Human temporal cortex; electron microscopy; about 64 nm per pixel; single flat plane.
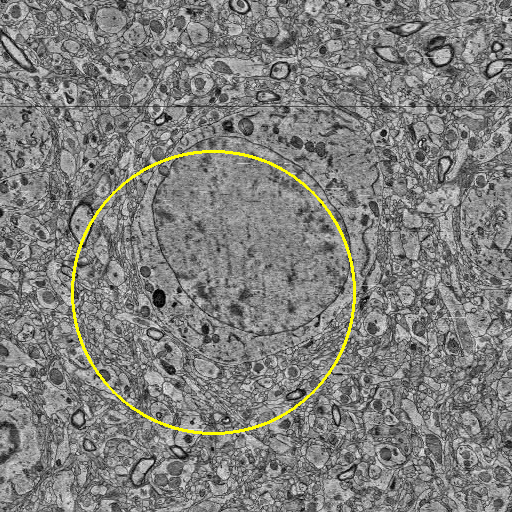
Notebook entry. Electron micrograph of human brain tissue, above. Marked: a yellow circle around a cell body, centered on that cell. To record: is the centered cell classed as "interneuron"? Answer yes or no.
No, the centered cell belongs to another kind.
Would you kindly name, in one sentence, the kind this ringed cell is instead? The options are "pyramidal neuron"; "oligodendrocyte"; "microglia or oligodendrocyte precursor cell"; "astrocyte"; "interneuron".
Instead, the cell inside the ring is a pyramidal neuron.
